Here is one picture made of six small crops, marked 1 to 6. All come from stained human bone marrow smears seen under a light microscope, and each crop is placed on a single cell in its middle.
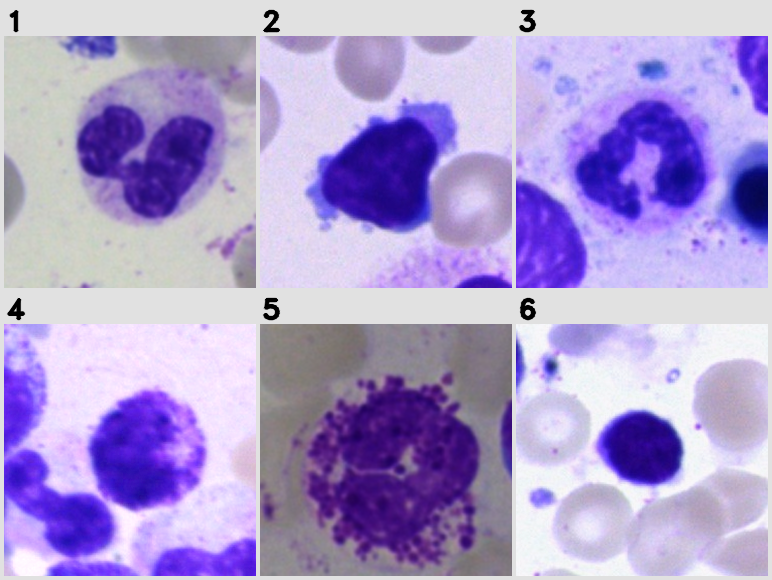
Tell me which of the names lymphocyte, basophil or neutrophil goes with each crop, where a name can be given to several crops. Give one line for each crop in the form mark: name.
1: neutrophil
2: lymphocyte
3: neutrophil
4: basophil
5: basophil
6: lymphocyte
